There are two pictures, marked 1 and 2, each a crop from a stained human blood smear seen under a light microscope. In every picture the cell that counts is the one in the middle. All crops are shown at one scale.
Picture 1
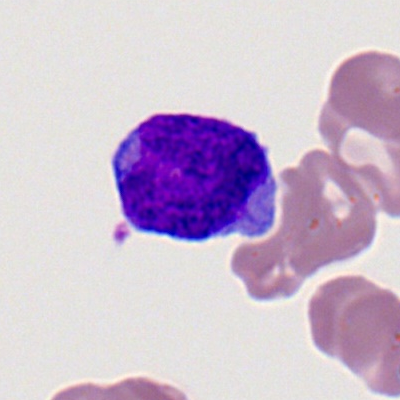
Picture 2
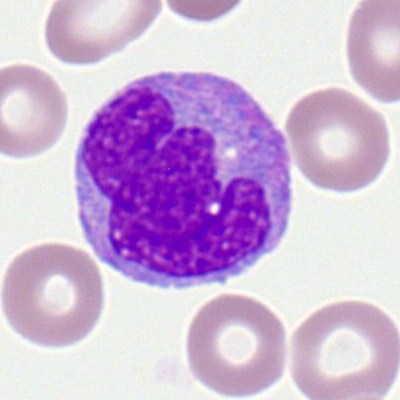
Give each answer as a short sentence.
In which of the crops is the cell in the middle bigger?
Larger is the cell in picture 2, at roughly 2 times the area of the other.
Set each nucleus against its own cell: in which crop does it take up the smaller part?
Of the two, the nucleus in picture 2 leaves more room for cytoplasm.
